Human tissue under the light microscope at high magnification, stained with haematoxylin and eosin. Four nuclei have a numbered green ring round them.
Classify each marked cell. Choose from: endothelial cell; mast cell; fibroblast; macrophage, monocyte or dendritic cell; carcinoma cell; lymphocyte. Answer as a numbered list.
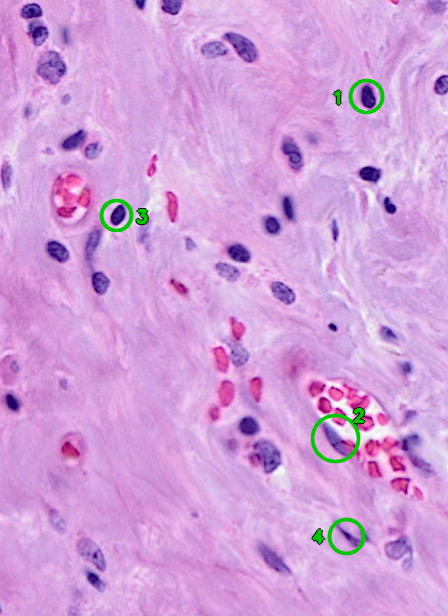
1. lymphocyte
2. endothelial cell
3. lymphocyte
4. fibroblast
